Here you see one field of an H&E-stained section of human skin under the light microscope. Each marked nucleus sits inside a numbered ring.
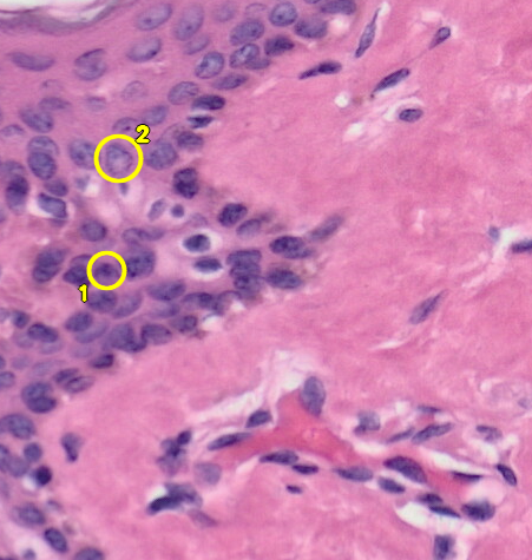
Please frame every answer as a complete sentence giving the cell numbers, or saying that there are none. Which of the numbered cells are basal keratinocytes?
Cell 1 is a basal keratinocyte, and this holds for no other numbered cell.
